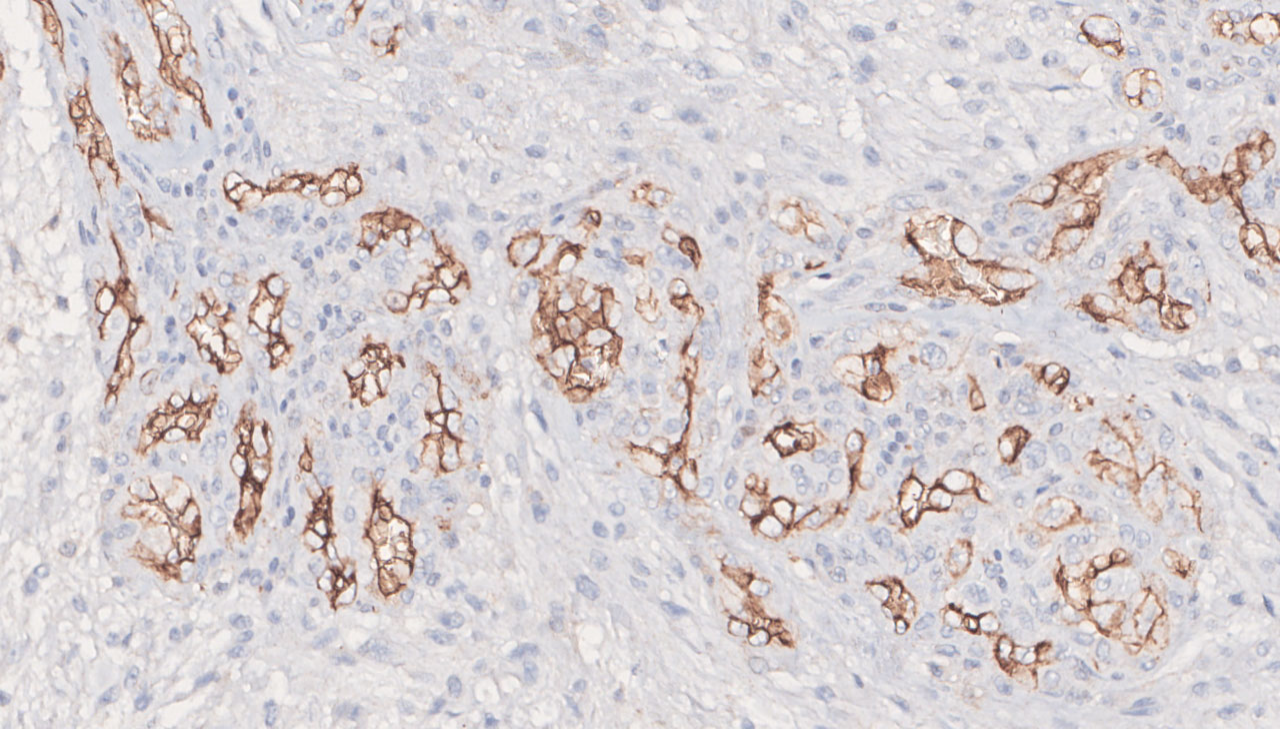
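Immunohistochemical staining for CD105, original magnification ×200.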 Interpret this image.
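Tissue section with many compact brown-stained clusters arranged in a glomeruloid pattern within a pale, loose stroma. Each cluster consists of small rounded, clear spaces whose rims carry a crisp brown membranous stain, giving tufted, lobulated profiles. Between the clusters lie spindle and oval cells with blue-stained nuclei and no brown stain. Toward the upper left, the stained structures are more elongated and branching.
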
